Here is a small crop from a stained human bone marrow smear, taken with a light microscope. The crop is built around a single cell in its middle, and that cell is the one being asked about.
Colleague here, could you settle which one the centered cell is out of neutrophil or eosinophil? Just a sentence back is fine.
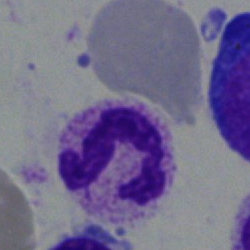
This crop has a neutrophil at its centre.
